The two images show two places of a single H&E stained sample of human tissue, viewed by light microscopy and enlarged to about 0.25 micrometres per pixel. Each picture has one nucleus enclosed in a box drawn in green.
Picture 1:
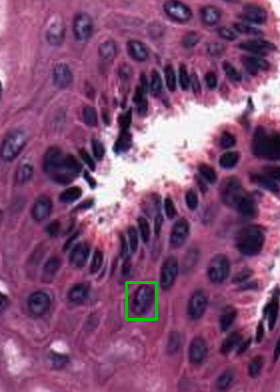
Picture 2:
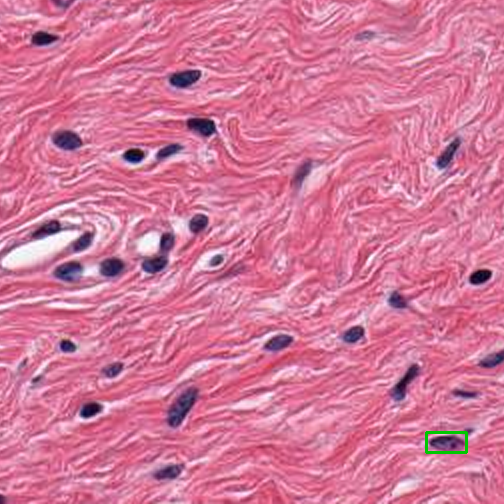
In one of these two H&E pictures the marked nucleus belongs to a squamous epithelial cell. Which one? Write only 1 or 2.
1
